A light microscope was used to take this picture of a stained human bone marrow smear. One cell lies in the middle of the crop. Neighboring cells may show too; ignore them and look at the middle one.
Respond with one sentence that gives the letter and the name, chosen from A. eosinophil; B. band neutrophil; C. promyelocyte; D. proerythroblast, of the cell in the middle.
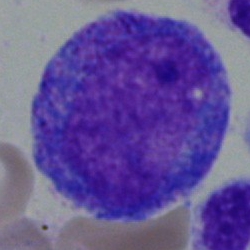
Option C is correct in naming the middle cell a promyelocyte.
